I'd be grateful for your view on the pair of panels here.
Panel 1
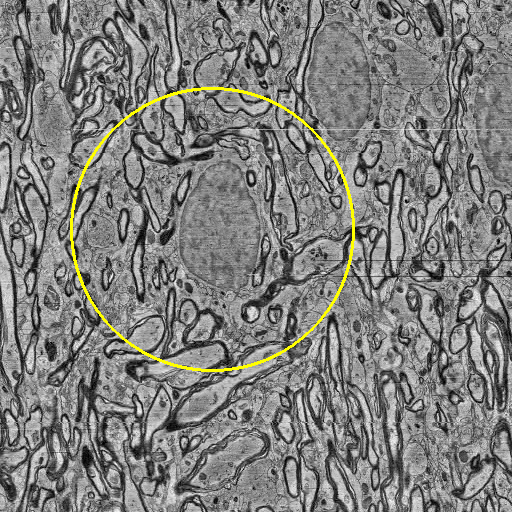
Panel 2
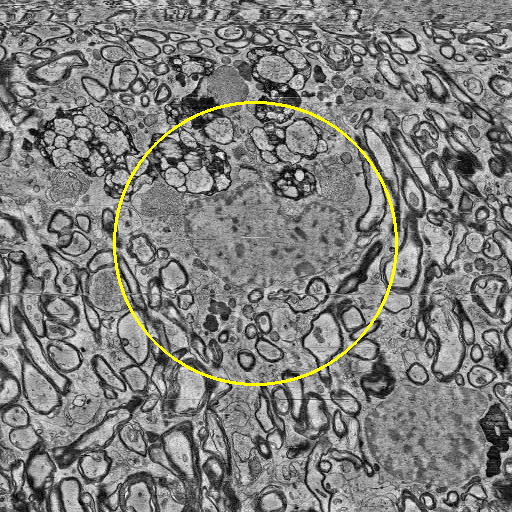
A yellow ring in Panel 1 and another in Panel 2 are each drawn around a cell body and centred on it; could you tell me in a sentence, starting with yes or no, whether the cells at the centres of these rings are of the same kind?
No, they are two kinds of cell.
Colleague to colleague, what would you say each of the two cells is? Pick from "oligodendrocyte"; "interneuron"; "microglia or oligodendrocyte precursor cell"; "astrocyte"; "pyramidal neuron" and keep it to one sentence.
The cell in the first picture is an oligodendrocyte; the second picture's cell is an astrocyte.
